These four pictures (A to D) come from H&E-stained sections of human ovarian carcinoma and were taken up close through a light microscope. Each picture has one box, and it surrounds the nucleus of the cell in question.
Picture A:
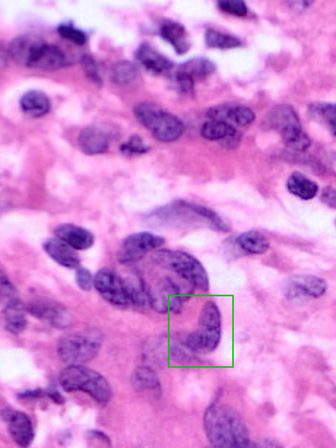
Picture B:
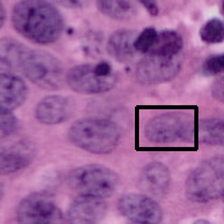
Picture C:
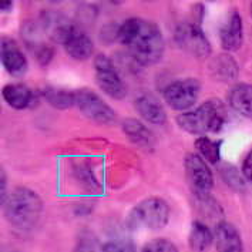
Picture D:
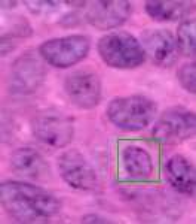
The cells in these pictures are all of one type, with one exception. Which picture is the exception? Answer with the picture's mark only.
D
